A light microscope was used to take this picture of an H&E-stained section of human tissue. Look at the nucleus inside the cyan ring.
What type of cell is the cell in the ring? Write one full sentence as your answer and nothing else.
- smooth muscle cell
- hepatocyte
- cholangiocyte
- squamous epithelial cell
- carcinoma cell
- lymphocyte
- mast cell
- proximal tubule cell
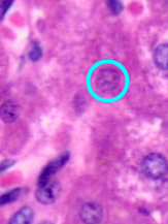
In the tissue under study, the cell in the ring is a hepatocyte.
